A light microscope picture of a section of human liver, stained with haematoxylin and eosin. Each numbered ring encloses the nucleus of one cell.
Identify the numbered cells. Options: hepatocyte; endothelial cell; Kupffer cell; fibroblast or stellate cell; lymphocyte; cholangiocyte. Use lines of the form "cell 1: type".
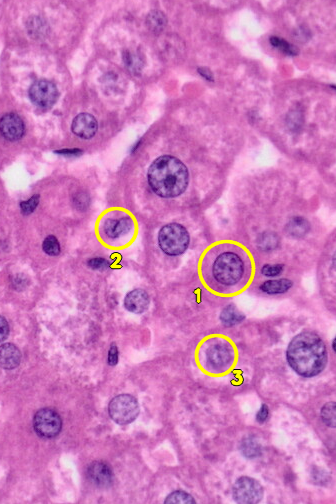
cell 1: hepatocyte
cell 2: Kupffer cell
cell 3: hepatocyte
